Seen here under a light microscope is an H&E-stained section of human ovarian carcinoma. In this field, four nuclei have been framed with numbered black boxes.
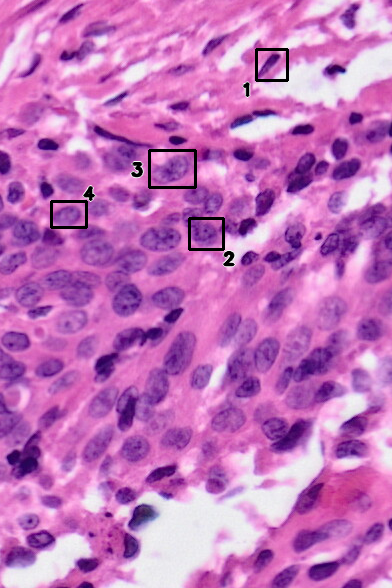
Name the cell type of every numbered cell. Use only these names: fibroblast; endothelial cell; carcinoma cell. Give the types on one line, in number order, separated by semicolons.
fibroblast; carcinoma cell; carcinoma cell; carcinoma cell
